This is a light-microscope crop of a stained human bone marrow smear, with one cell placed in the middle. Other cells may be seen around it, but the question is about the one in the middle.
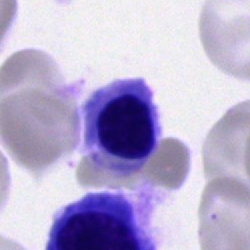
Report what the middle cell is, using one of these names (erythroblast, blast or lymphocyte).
erythroblast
